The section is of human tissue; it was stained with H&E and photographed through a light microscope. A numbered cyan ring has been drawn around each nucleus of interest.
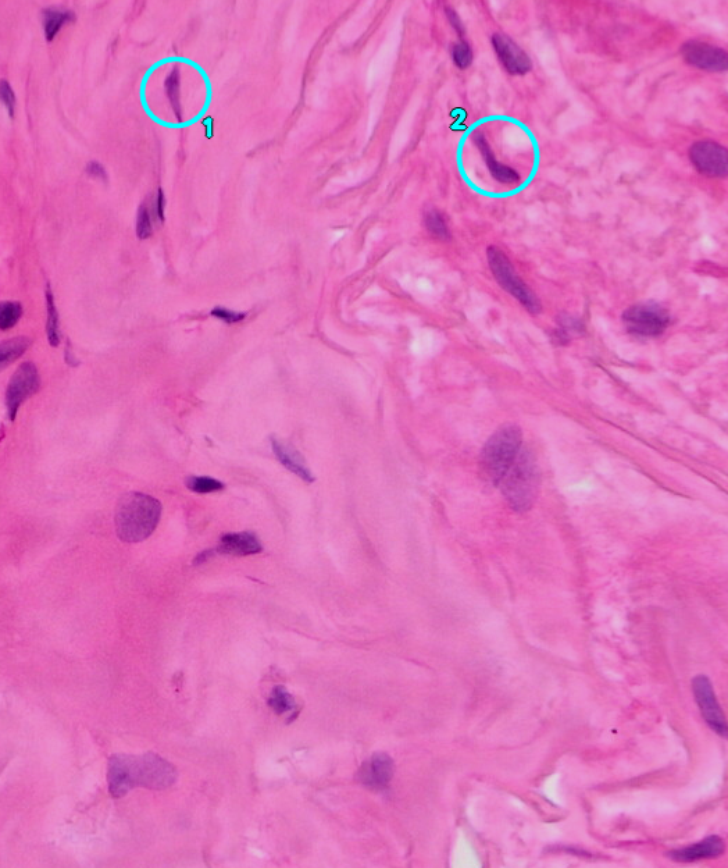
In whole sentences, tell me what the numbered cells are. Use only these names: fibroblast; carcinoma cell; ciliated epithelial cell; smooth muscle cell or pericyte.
Cell 1 is a fibroblast. Cell 2 is a smooth muscle cell or pericyte.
